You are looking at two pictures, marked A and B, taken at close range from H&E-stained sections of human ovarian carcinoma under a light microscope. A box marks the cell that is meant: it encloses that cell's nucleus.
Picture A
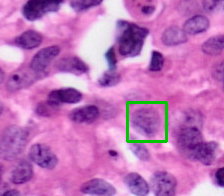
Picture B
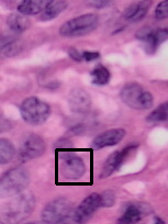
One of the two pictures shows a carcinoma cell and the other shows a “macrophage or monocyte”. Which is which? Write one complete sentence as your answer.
Picture A is of a carcinoma cell, and picture B is of a “macrophage or monocyte”.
